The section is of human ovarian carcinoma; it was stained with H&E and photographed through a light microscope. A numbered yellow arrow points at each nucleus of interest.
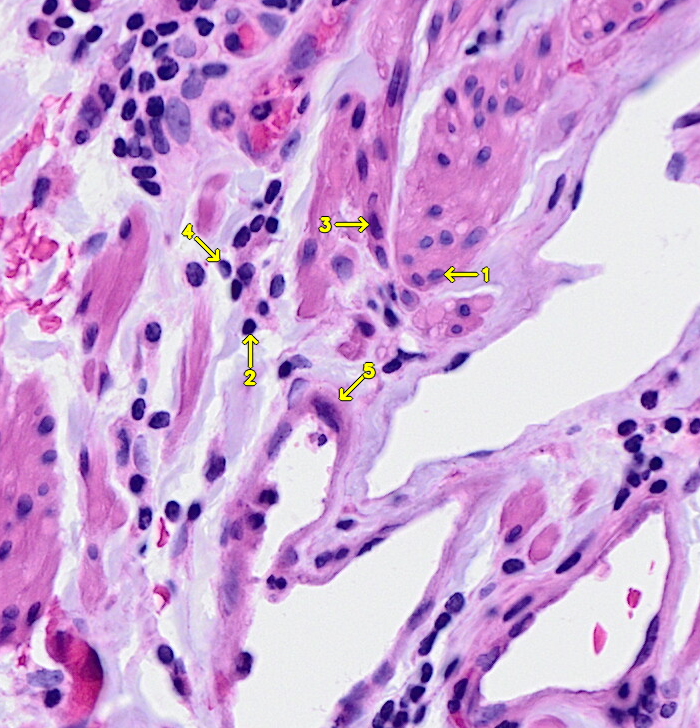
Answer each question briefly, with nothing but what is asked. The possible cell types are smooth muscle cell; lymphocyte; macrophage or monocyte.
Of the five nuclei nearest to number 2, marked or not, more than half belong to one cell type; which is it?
macrophage or monocyte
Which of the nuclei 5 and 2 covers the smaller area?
2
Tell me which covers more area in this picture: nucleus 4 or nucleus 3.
3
